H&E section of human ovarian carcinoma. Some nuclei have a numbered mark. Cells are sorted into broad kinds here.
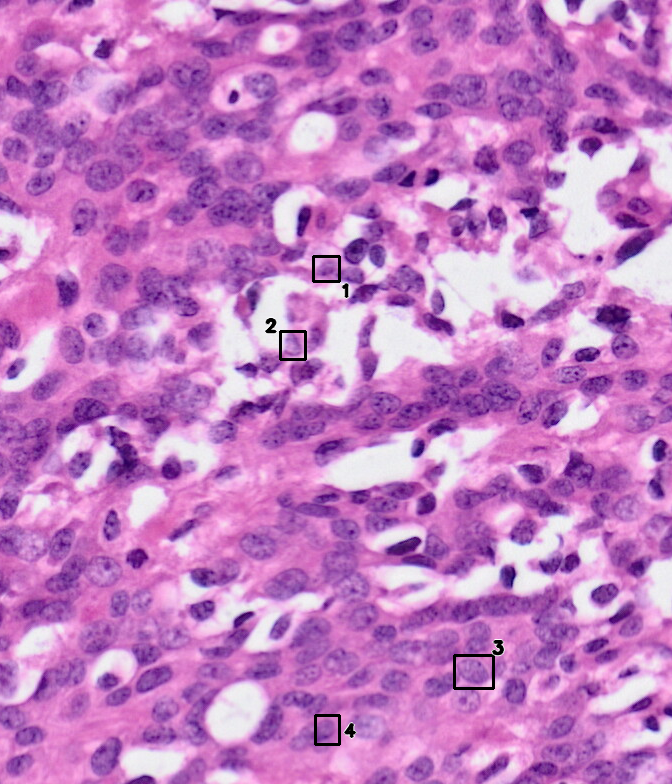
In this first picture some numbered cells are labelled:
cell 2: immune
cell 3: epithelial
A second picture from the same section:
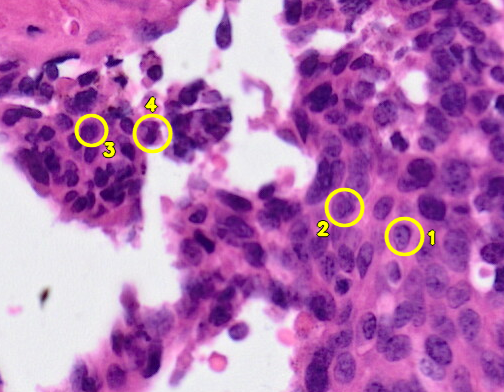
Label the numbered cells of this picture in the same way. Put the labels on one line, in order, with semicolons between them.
immune; epithelial; epithelial; epithelial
